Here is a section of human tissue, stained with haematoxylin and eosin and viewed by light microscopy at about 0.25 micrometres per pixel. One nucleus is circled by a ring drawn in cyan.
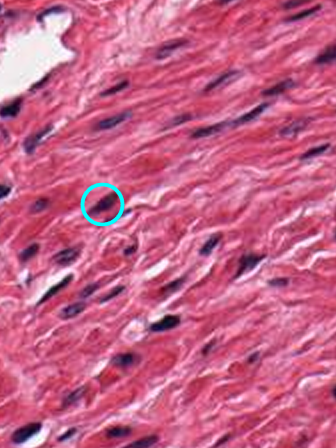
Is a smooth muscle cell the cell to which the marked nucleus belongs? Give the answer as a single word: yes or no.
yes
